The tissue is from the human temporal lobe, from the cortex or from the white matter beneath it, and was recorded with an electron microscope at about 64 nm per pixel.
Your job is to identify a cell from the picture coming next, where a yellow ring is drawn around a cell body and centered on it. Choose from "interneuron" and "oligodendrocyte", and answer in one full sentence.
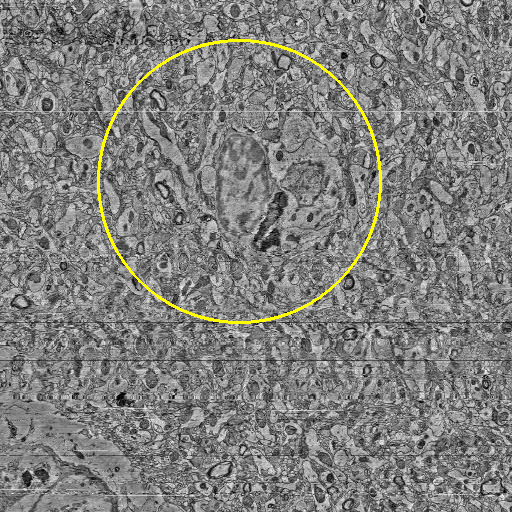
Centered in the yellow ring of the picture is the body of an oligodendrocyte.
